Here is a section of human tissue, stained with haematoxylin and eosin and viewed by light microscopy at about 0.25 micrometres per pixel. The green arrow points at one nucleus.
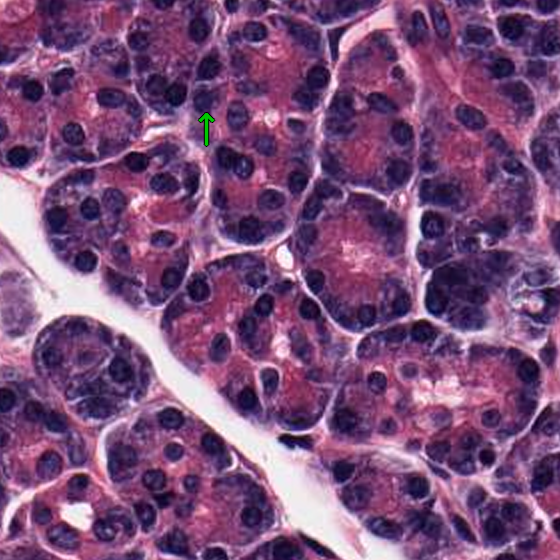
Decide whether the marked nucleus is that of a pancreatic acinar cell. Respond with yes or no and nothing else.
yes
